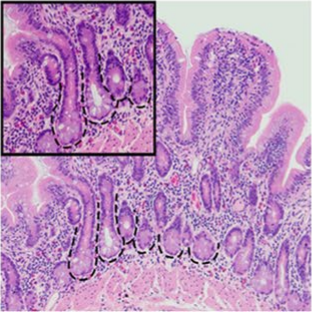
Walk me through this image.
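This is small intestinal mucosa in which the villi still stand upright and keep their epithelial covering. The surface of each villus is lined by a continuous layer of pink columnar epithelial cells, with a cellular lamina propria full of dark nuclei beneath. At the base, tubular glands marked by dashed outlines lie packed together above the pink muscle layer. In the inset these glands show tall cells with purple nuclei arranged around small lumens, and the surrounding connective tissue holds scattered cells with bright red granules. Overall the architecture looks much like freshly fixed tissue.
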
